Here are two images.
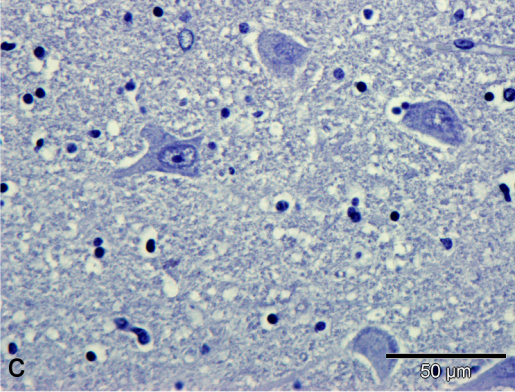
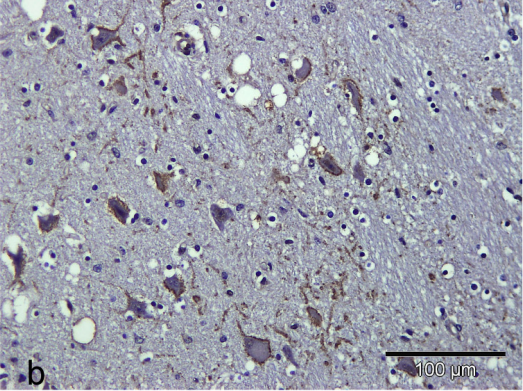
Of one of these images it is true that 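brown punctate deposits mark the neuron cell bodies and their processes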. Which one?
The second image.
